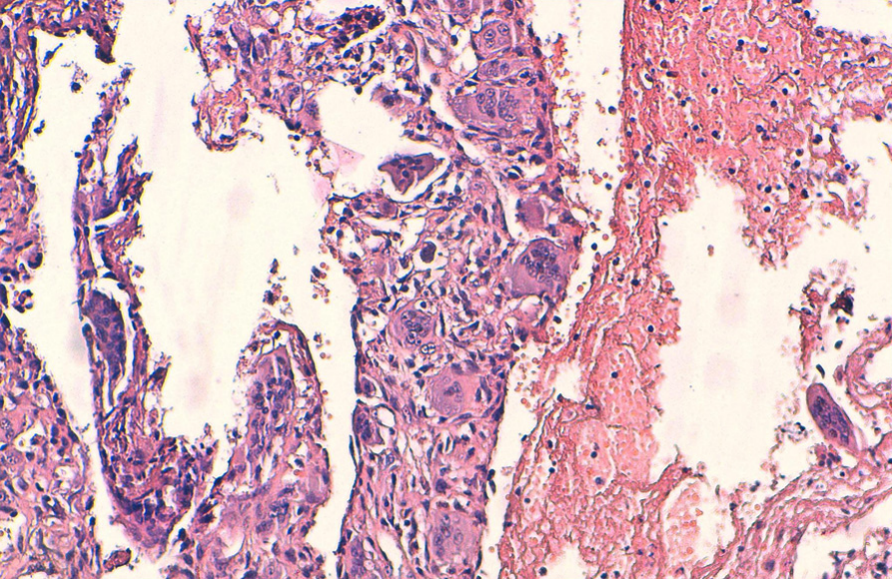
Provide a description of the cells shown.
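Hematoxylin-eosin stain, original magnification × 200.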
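Lesion of cystic spaces separated by cellular fibrous septa, with spindle-shaped fibroblasts and multinucleated giant cells. The septa run as irregular strands between wide open spaces. The space on the right is filled with pink red blood cells and scattered small nucleated cells. Within the septa, uniform spindle cells with elongated dark nuclei form a loose background. Among them lie large giant cells with abundant pink to purple cytoplasm, each holding a cluster of many nuclei. Some giant cells sit at the edge of the septa next to the spaces. No bone is evident in the field.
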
